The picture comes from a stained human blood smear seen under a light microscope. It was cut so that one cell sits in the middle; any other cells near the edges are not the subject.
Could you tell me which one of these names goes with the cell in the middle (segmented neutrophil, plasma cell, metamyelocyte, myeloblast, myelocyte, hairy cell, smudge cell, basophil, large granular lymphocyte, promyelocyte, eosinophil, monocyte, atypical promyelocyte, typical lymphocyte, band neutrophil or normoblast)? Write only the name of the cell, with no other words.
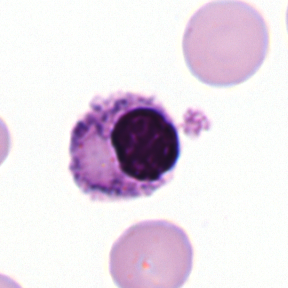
normoblast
